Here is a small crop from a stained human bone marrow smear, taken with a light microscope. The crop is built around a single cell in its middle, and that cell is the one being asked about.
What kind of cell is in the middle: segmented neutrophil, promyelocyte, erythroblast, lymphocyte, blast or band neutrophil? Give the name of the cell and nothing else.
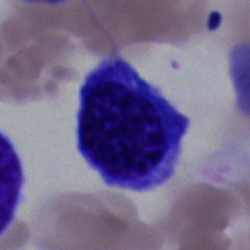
erythroblast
